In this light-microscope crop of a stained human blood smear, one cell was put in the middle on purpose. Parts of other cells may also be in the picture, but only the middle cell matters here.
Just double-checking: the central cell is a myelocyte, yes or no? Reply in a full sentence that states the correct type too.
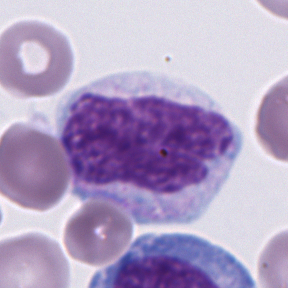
Yes, within this crop, the central cell is a myelocyte.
